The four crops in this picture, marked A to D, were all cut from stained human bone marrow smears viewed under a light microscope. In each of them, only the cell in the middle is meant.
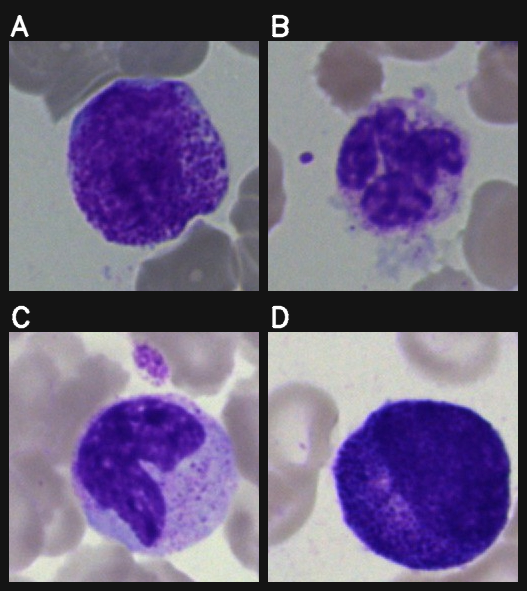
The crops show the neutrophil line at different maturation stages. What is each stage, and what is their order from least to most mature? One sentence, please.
From earliest stage to latest stage, the sequence is crop D (a promyelocyte), crop A (a myelocyte), crop C (a band neutrophil) and crop B (a segmented neutrophil).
